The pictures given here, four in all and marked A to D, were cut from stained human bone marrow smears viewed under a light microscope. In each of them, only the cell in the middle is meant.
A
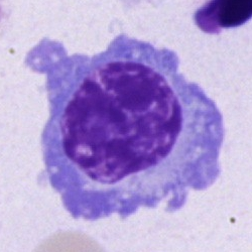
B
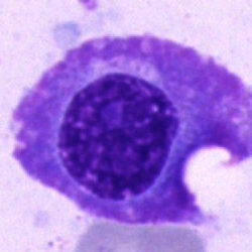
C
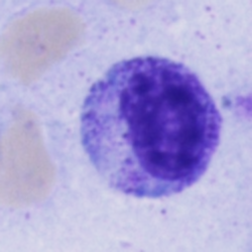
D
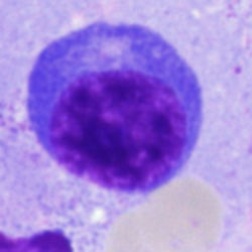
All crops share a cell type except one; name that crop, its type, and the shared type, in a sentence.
The outlier here is crop C, which is a myelocyte, while the remainder show plasma cells.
